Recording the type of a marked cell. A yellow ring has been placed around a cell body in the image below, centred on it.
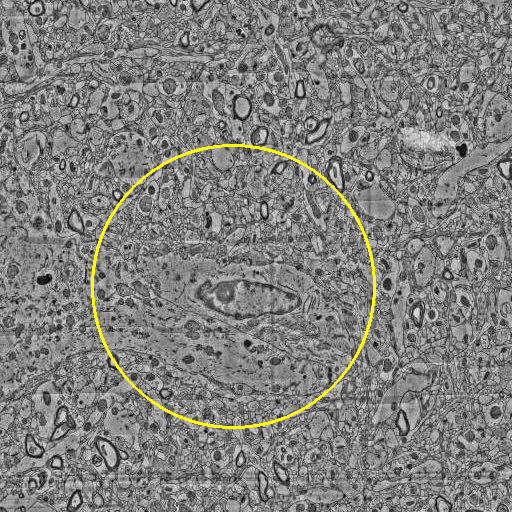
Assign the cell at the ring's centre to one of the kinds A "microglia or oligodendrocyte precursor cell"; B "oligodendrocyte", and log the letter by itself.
A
